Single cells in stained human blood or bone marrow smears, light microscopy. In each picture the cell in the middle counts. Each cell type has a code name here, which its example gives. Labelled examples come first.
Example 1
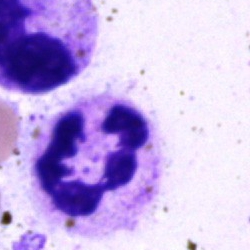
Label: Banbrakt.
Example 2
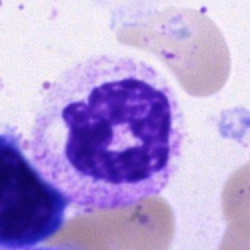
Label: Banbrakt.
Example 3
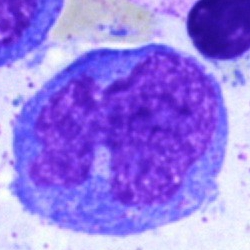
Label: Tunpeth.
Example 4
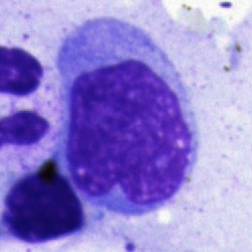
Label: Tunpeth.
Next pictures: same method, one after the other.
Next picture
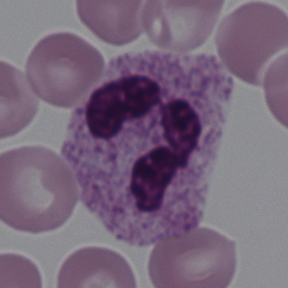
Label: Banbrakt.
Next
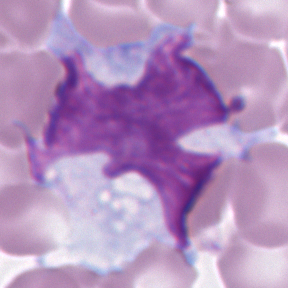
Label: Tunpeth.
